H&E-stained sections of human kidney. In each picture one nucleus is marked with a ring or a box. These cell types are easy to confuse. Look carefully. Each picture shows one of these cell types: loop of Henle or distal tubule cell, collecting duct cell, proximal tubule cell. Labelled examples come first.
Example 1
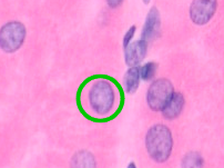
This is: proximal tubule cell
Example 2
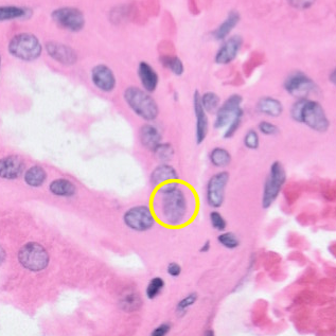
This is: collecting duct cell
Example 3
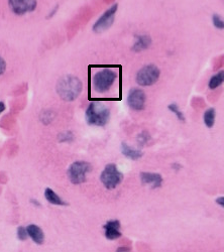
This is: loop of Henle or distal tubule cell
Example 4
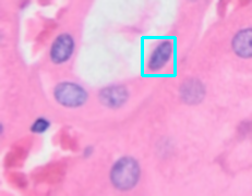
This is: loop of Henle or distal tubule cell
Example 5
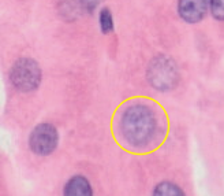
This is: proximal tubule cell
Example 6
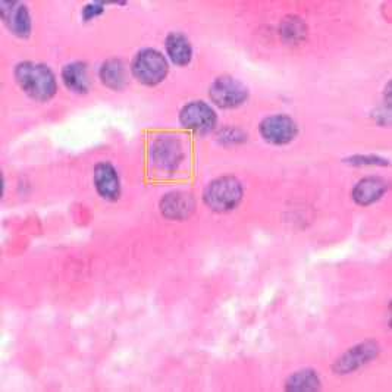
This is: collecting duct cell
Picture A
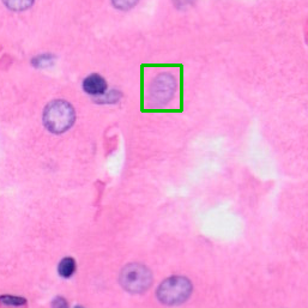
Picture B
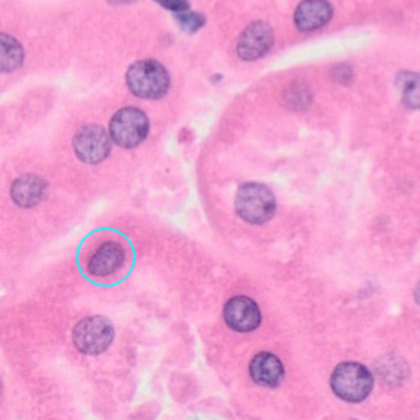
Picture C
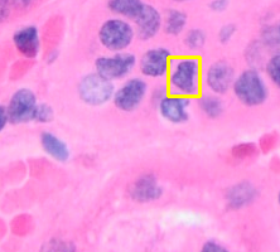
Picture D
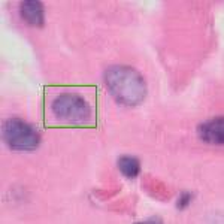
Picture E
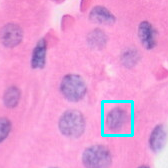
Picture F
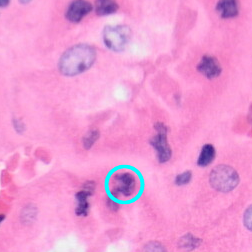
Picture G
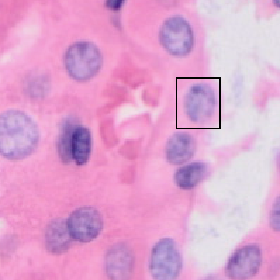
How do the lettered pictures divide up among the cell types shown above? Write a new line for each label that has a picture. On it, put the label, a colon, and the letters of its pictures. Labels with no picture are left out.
loop of Henle or distal tubule cell: D, E
collecting duct cell: C, G
proximal tubule cell: A, B, F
